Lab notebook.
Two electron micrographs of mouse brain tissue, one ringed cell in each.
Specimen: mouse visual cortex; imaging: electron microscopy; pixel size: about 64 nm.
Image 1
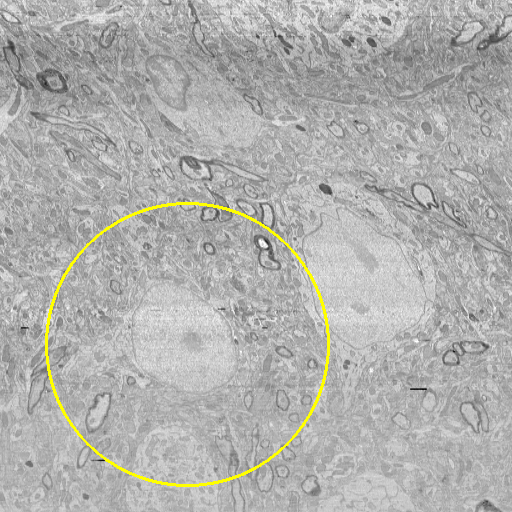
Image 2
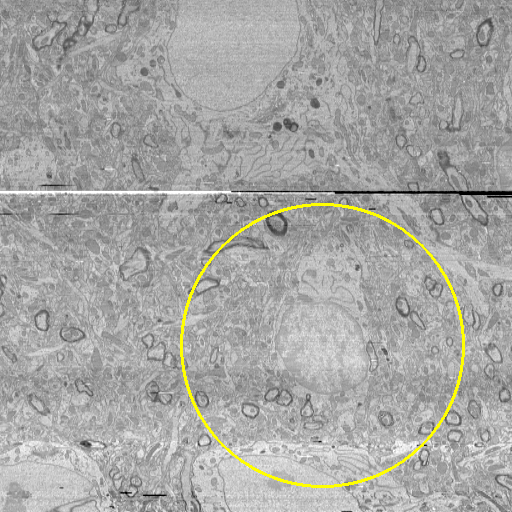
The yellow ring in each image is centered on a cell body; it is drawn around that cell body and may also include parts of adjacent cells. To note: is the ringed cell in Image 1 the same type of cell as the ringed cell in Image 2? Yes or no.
no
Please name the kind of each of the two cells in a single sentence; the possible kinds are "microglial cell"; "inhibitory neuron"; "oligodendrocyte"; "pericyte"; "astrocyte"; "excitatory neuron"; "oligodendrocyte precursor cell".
In the first picture the ring is centred on an astrocyte, and in the second on an oligodendrocyte.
